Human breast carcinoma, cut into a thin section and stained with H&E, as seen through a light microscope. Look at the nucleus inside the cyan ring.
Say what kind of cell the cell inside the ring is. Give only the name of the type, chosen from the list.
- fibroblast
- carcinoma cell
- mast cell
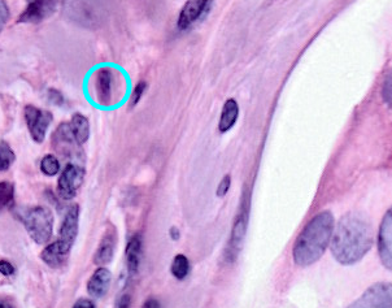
mast cell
